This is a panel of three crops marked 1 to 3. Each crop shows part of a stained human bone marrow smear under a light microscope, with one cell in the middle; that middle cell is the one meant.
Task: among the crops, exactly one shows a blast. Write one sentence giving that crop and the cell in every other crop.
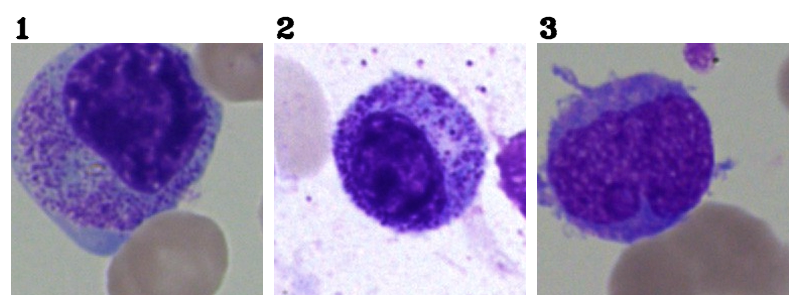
With respect to crop 3, the cell is a blast, whereas crop 1 is a promyelocyte and crop 2 is a myelocyte.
